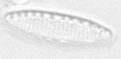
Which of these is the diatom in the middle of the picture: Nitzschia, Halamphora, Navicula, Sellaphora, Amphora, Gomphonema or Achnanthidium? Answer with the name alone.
Nitzschia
